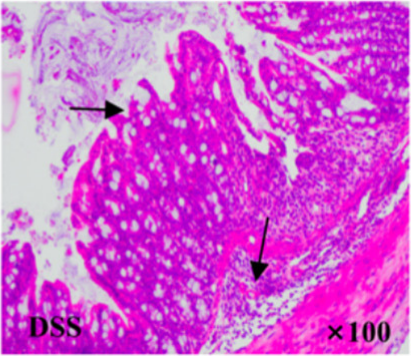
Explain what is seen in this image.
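This colonic section shows mucosa with crypts whose arrangement is disturbed at one side, where the tissue is replaced by a dense crowd of small, dark purple nuclei reaching down toward the pink muscle layer. The surface at the top is ragged, and the pale clear vacuoles of the crypt epithelium are still visible in the better preserved part.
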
